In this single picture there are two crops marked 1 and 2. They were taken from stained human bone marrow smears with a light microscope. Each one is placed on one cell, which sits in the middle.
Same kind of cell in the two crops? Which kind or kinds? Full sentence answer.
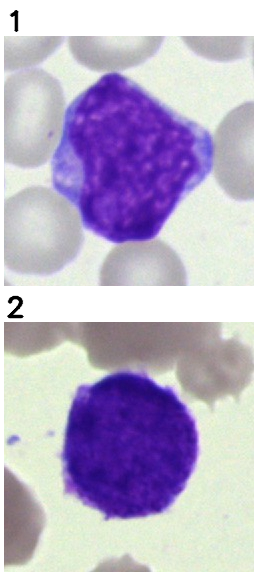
Yes, both crops show blasts, and nothing else needs adding.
